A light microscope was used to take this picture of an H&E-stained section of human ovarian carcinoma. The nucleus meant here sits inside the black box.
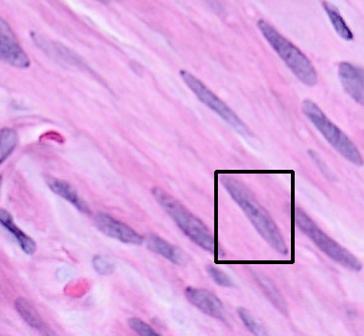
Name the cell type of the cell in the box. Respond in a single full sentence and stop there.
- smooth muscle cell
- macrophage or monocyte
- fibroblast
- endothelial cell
The correct response here is that the cell in the box is a smooth muscle cell.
